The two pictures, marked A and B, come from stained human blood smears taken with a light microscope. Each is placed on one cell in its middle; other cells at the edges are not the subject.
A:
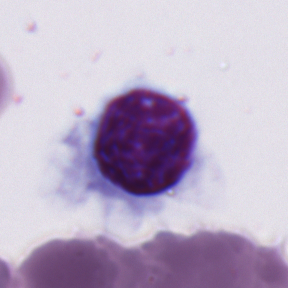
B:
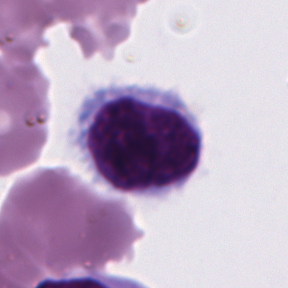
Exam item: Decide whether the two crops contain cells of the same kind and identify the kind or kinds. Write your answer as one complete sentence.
Yes, the cells at the centre of both crops are hairy cells.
